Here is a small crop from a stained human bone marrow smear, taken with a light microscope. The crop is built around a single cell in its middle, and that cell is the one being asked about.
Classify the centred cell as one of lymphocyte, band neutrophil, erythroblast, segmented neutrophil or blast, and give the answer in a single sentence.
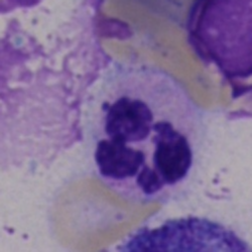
The cell of interest, located centrally, is a segmented neutrophil.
